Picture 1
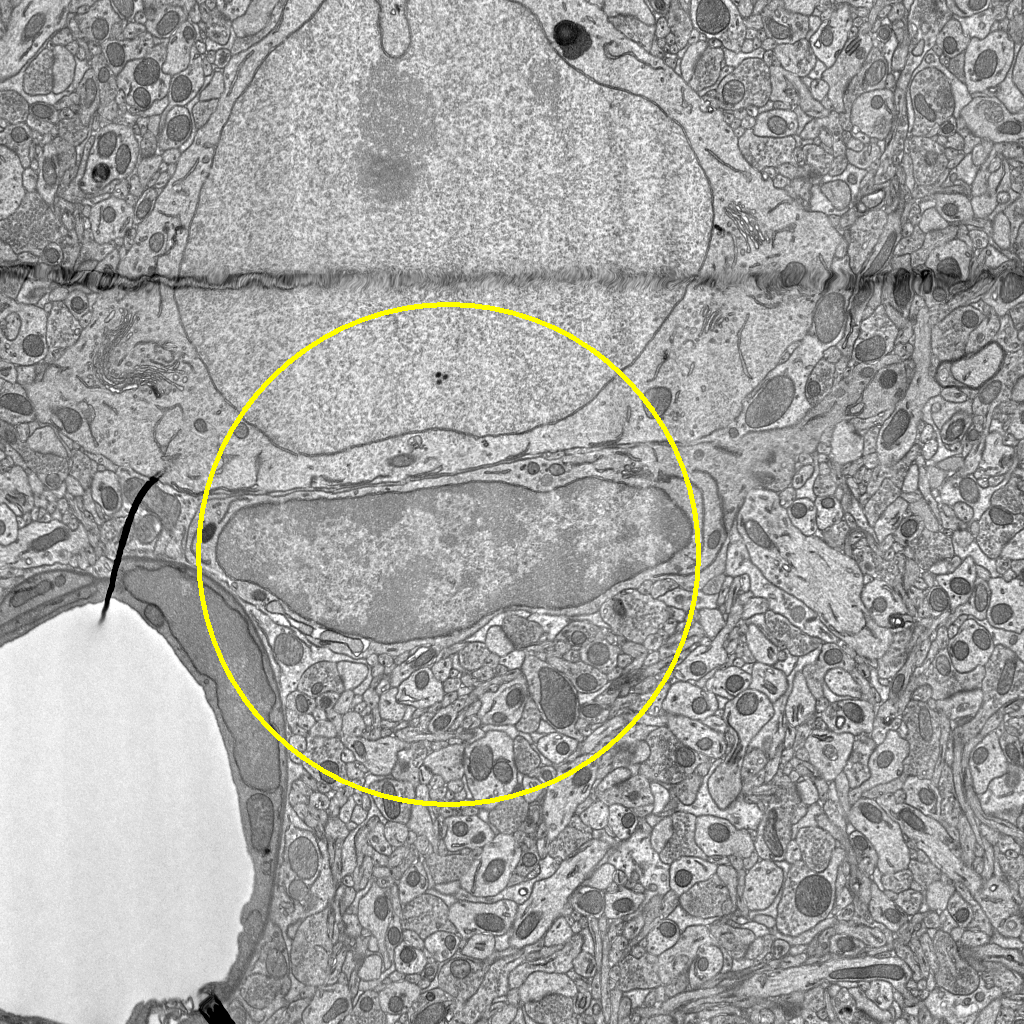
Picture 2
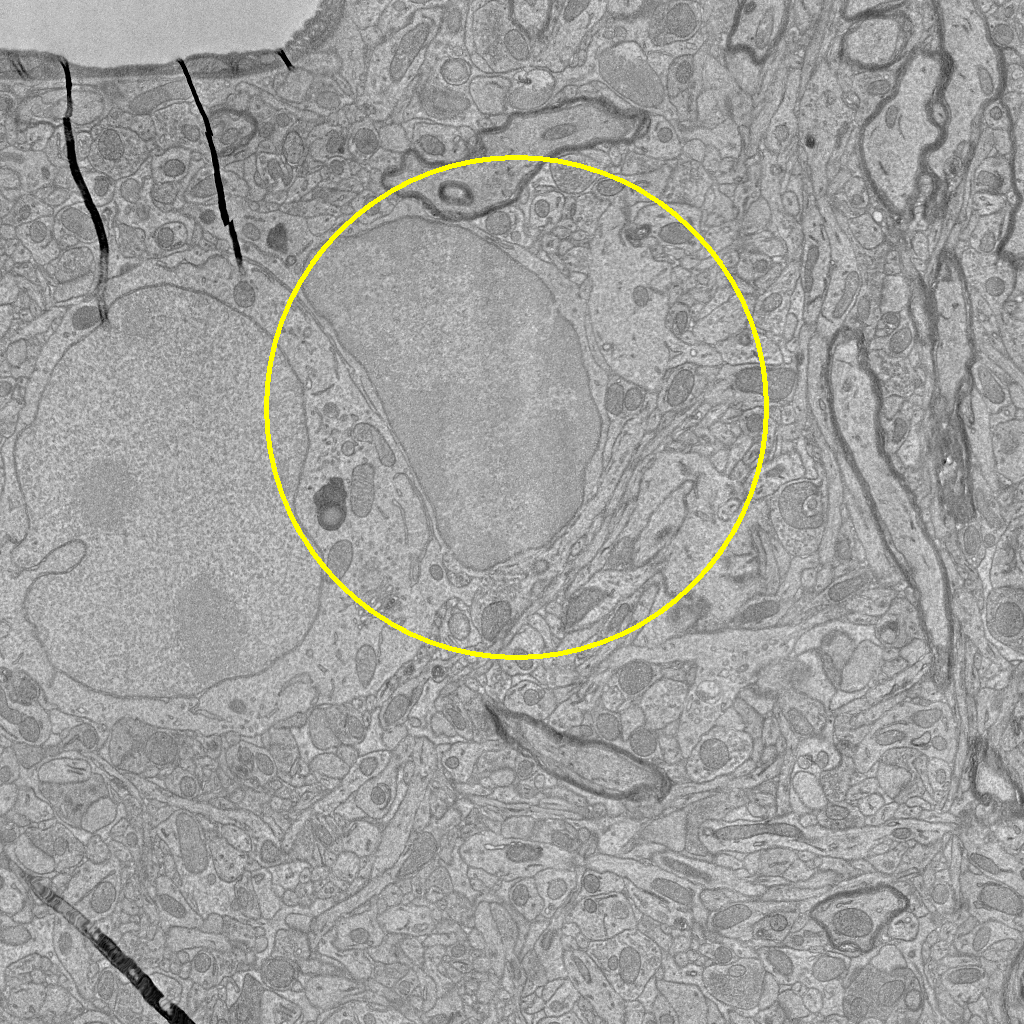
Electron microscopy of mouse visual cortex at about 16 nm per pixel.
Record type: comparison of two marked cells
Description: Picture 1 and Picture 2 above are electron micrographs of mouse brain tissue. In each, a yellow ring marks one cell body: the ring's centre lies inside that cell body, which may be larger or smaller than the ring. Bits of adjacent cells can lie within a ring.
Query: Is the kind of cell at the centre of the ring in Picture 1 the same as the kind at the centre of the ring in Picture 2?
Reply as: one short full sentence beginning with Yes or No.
Yes, the two cells at the ring centres are of the same kind.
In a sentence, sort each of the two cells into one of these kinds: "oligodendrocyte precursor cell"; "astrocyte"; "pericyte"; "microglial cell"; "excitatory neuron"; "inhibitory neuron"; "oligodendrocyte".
The second cell is a microglial cell, just as the first is.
